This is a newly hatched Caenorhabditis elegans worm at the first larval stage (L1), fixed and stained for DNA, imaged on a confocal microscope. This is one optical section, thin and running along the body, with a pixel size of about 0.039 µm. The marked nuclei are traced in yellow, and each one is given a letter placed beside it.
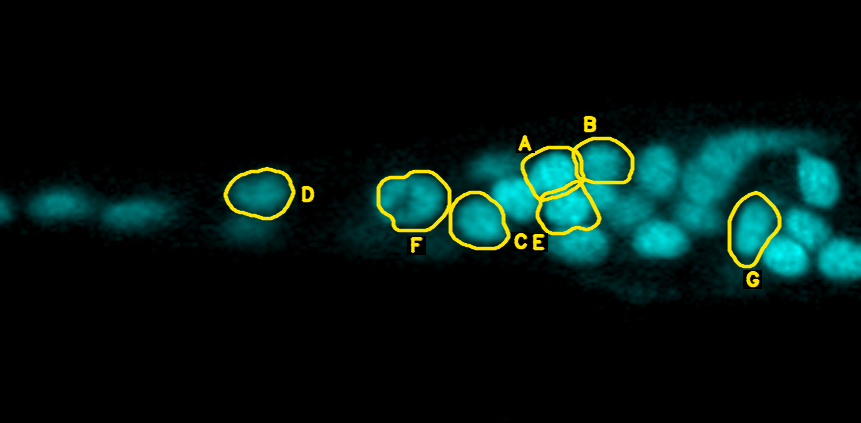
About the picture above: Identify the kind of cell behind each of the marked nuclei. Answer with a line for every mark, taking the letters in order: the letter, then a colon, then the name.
A: neuron
B: enteric muscle cell
C: neuron
D: hypodermal cell (hyp)
E: neuron
F: seam cell
G: rectal epithelial cell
